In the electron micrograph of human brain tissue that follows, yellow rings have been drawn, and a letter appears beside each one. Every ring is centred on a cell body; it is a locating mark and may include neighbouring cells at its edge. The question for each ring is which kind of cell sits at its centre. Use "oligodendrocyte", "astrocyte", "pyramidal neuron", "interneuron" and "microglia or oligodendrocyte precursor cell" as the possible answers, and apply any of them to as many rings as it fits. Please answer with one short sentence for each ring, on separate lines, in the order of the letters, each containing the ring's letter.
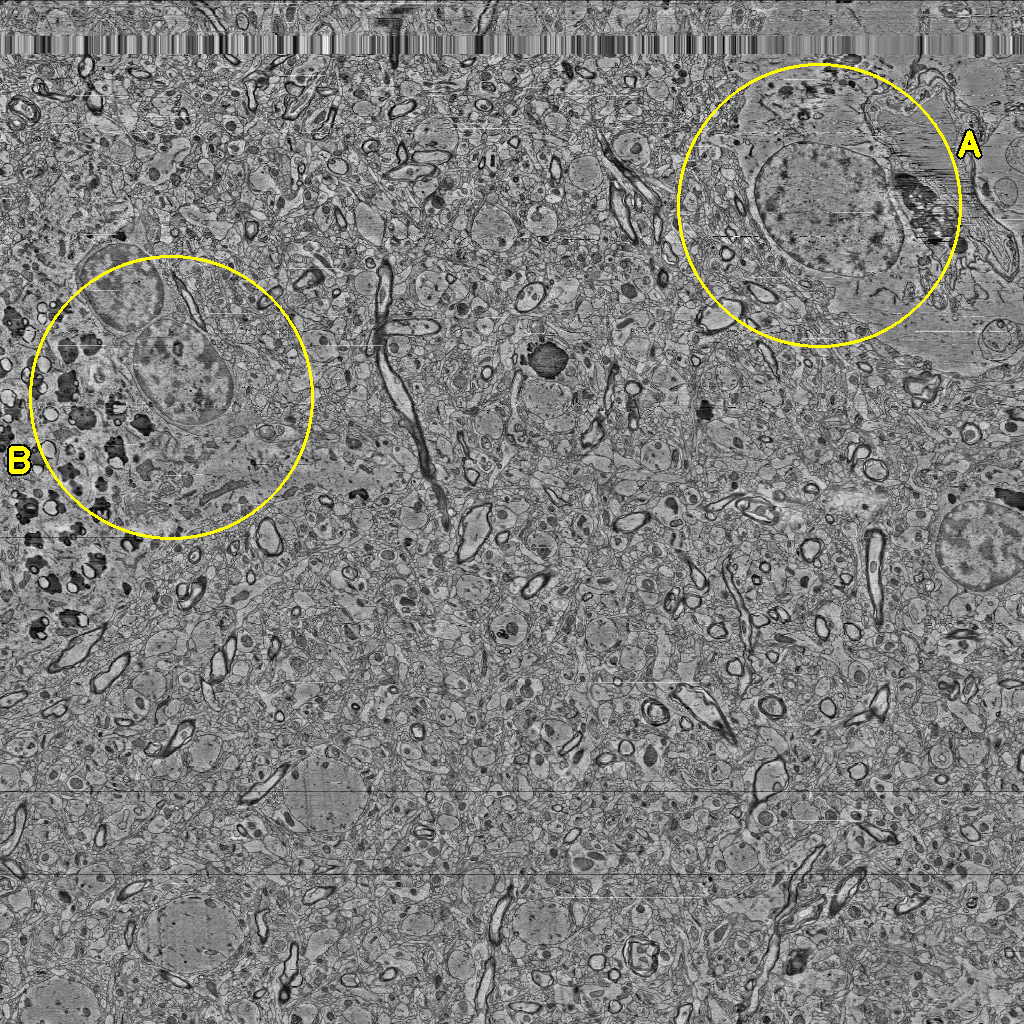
Sitting at the centre of ring A is an astrocyte.
Sitting at the centre of ring B is an oligodendrocyte.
